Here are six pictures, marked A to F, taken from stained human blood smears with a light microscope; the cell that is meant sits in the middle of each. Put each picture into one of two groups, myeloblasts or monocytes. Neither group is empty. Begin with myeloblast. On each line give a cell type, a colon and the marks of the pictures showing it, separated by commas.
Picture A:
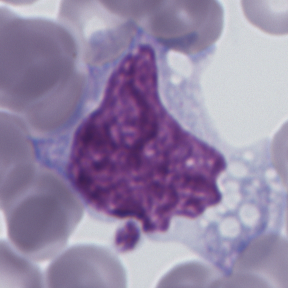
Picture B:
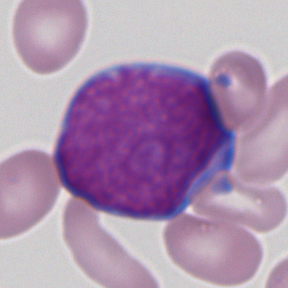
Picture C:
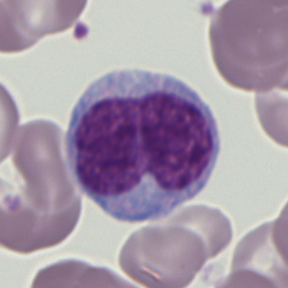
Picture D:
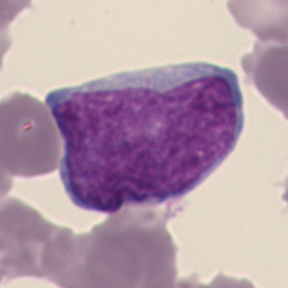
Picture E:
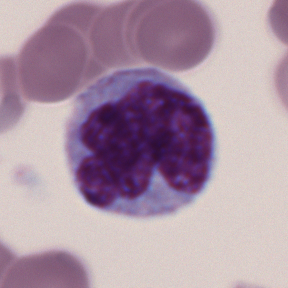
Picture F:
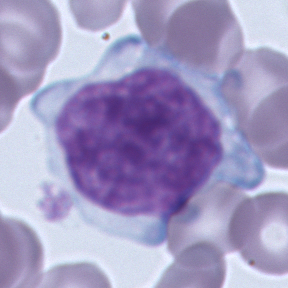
myeloblast: B, D, F
monocyte: A, C, E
